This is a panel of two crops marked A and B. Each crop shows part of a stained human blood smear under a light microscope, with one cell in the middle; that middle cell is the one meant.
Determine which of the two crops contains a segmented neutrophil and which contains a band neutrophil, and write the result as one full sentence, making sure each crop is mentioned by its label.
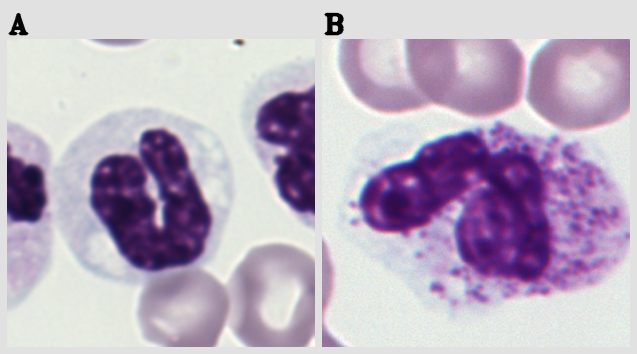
There is a band neutrophil in crop A and a segmented neutrophil in crop B.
